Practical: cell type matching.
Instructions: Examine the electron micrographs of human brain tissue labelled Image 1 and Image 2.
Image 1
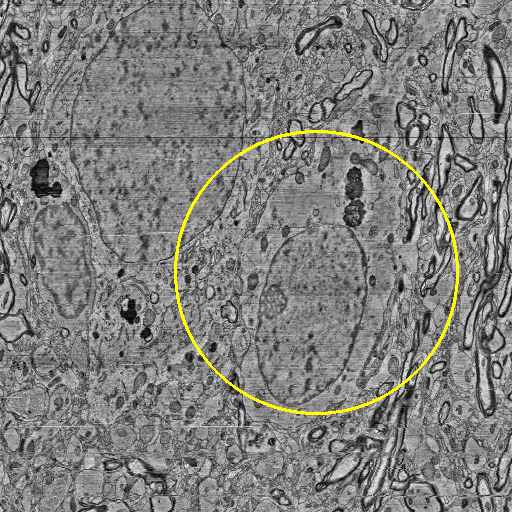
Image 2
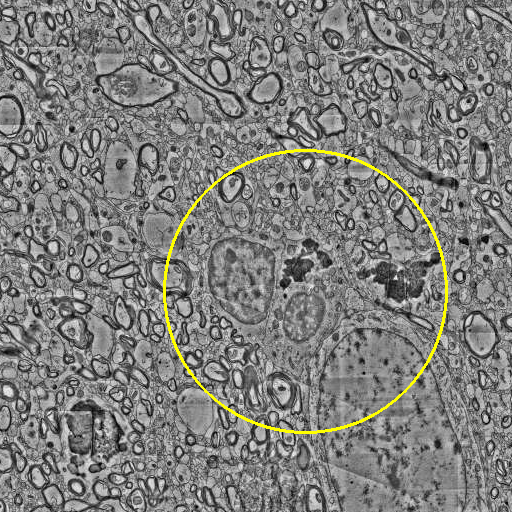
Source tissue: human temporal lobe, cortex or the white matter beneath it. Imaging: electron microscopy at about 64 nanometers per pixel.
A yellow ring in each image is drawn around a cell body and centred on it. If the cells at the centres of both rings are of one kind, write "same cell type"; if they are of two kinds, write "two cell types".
two cell types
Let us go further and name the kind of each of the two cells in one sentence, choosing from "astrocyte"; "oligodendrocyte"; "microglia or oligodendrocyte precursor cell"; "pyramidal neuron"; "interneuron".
The ring of the first picture is on an astrocyte, the ring of the second on an oligodendrocyte.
